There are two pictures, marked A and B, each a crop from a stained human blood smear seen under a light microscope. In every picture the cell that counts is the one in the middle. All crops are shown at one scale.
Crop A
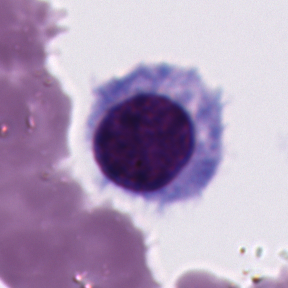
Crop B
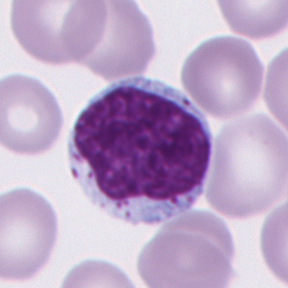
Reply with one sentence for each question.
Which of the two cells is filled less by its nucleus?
Of the two, the nucleus in crop A leaves more room for cytoplasm.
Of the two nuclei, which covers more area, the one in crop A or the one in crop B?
It is the nucleus in crop B, about 1.5 times as large in area as the one in crop A.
